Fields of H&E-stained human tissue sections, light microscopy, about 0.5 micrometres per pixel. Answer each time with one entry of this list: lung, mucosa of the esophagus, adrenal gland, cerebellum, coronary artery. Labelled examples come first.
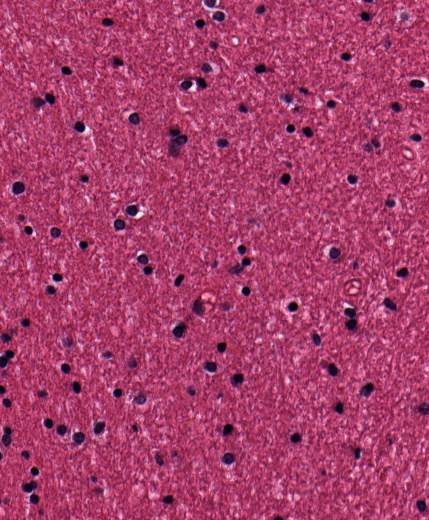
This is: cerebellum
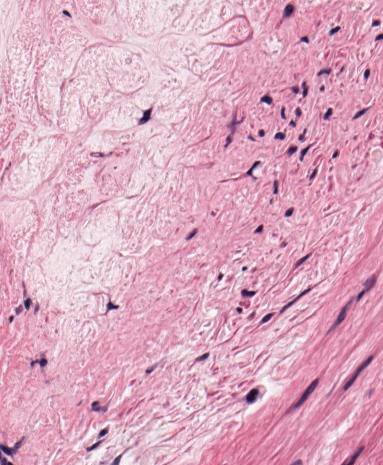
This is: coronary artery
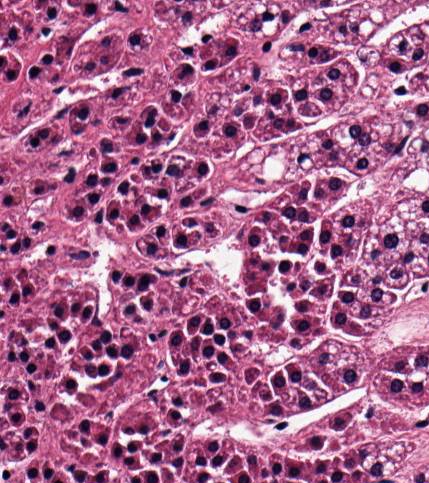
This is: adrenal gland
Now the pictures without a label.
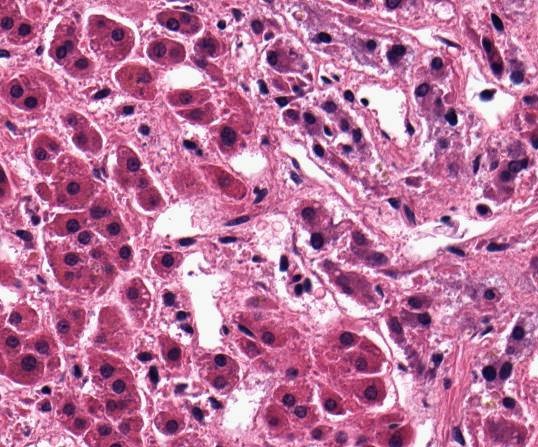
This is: adrenal gland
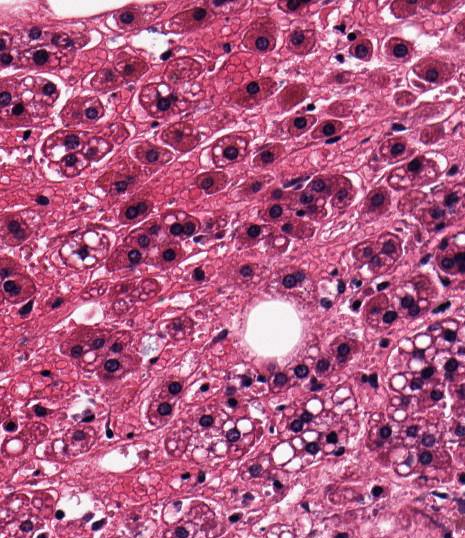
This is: adrenal gland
